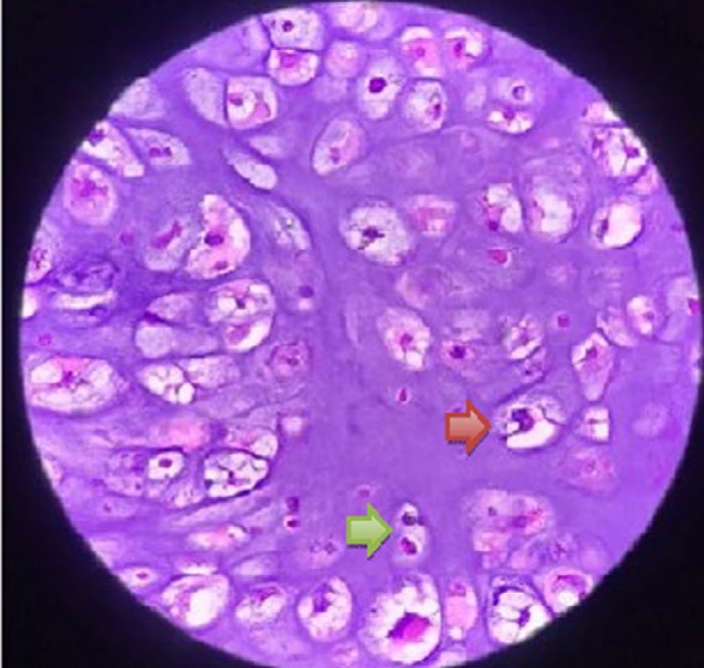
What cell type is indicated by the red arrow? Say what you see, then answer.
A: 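The red arrow points to a cell in a wide lacuna. Its nucleus is dark and irregular in shape.
Hence: large, highly atypical chondrocyte.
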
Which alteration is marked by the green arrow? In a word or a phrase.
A: Binucleation of chondrocytes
